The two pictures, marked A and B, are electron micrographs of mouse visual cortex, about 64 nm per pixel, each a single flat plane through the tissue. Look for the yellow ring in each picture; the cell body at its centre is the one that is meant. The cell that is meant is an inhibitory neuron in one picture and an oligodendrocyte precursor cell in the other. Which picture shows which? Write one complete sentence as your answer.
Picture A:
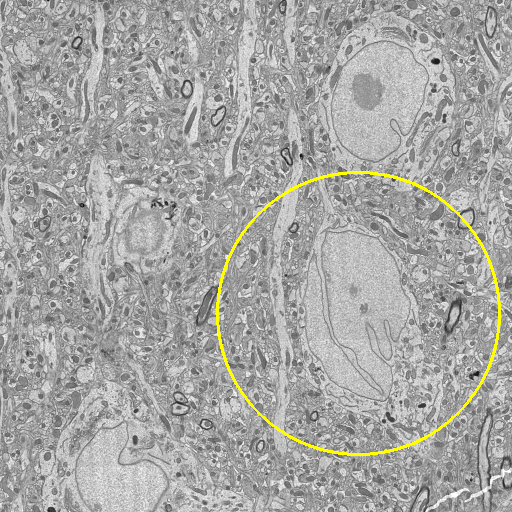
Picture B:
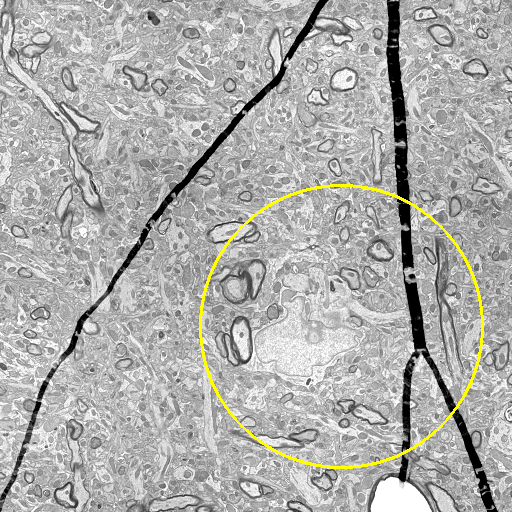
In picture A the cell is an inhibitory neuron; in picture B, an oligodendrocyte precursor cell.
